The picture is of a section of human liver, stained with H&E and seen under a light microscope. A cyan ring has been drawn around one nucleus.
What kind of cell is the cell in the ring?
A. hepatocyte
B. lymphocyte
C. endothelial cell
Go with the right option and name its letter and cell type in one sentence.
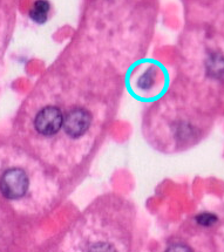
The correct identification, the cell in the ring as a lymphocyte, is given by option B.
